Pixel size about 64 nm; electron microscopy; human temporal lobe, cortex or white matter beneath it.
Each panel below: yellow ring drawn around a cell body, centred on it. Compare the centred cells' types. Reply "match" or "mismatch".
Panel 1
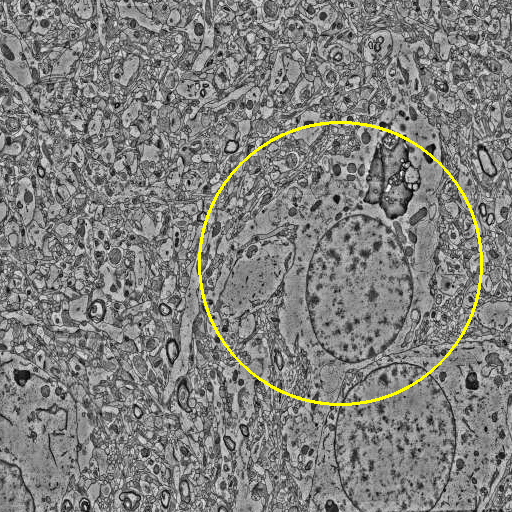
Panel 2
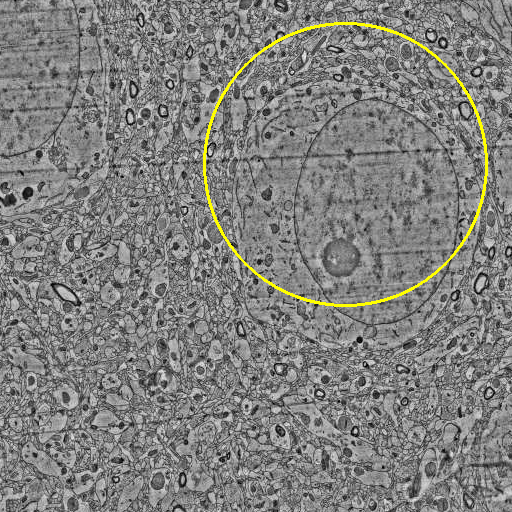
mismatch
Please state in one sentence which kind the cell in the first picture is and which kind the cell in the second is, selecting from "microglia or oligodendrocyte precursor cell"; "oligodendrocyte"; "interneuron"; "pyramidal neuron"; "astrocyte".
The first ringed cell is an astrocyte, the second ringed cell a pyramidal neuron.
